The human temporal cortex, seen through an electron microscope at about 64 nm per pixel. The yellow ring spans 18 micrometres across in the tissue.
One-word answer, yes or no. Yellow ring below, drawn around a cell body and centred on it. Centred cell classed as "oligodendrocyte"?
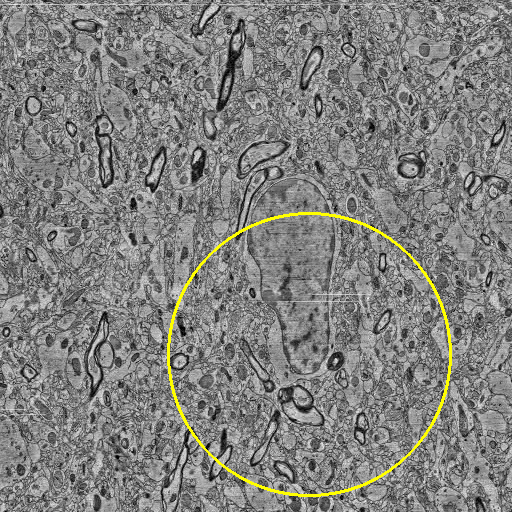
no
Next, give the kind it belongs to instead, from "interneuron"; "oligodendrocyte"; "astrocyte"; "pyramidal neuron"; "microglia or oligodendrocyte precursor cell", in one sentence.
The cell in question here is a microglial cell or oligodendrocyte precursor cell.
